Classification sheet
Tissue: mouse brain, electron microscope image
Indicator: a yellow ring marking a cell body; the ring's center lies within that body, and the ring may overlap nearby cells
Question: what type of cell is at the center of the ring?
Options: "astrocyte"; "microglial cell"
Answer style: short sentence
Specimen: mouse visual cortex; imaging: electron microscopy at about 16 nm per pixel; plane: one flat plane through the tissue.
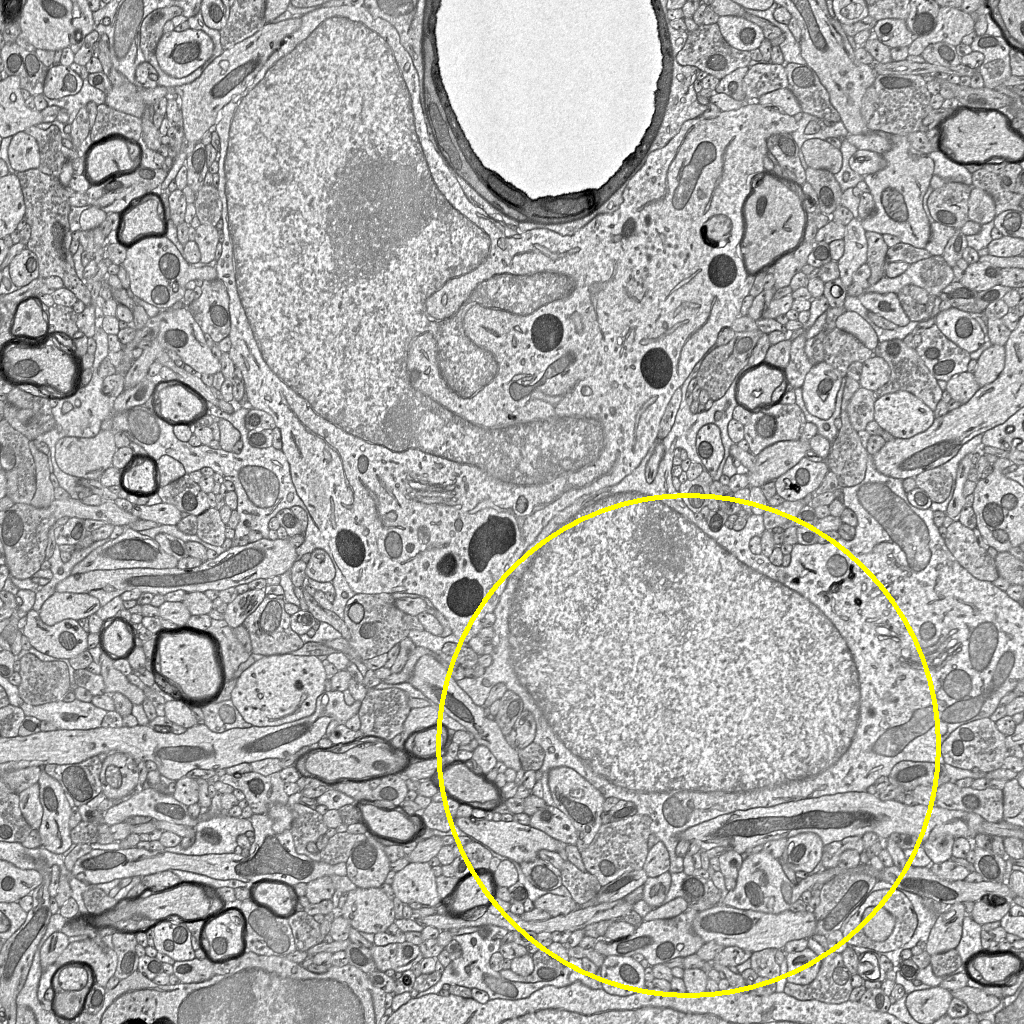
At the ring's center is an astrocyte.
